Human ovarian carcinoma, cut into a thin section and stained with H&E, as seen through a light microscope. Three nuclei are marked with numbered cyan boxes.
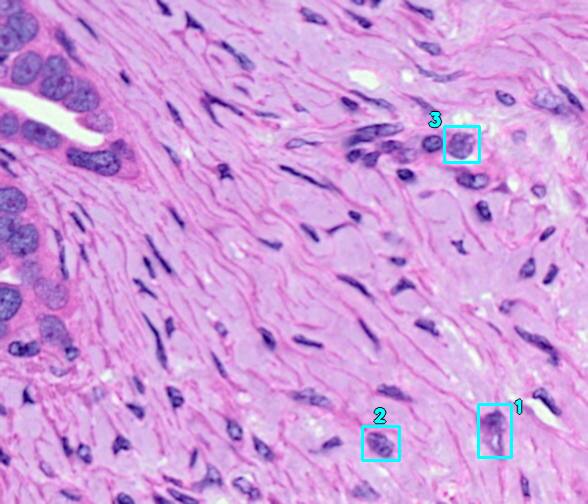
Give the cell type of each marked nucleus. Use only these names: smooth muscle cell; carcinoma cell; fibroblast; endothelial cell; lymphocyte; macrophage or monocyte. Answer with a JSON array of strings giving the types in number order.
["fibroblast", "macrophage or monocyte", "endothelial cell"]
